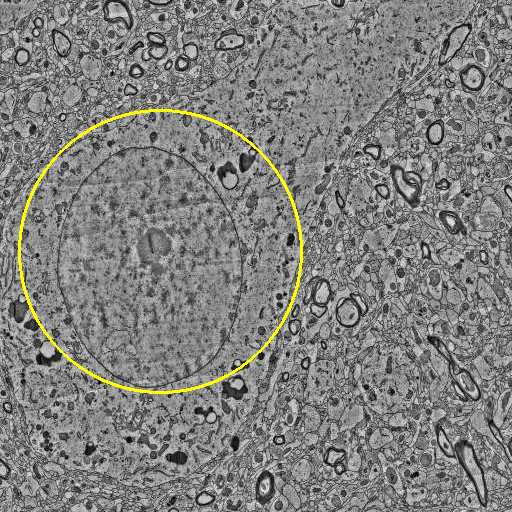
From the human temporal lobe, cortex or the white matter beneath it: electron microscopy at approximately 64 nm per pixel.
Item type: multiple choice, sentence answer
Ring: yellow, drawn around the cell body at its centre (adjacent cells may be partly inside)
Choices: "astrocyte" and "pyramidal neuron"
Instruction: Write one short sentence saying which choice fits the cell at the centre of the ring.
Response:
This ring is drawn around a pyramidal neuron.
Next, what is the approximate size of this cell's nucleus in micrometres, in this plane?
In this plane the nucleus measures roughly 15 by 12 micrometers.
